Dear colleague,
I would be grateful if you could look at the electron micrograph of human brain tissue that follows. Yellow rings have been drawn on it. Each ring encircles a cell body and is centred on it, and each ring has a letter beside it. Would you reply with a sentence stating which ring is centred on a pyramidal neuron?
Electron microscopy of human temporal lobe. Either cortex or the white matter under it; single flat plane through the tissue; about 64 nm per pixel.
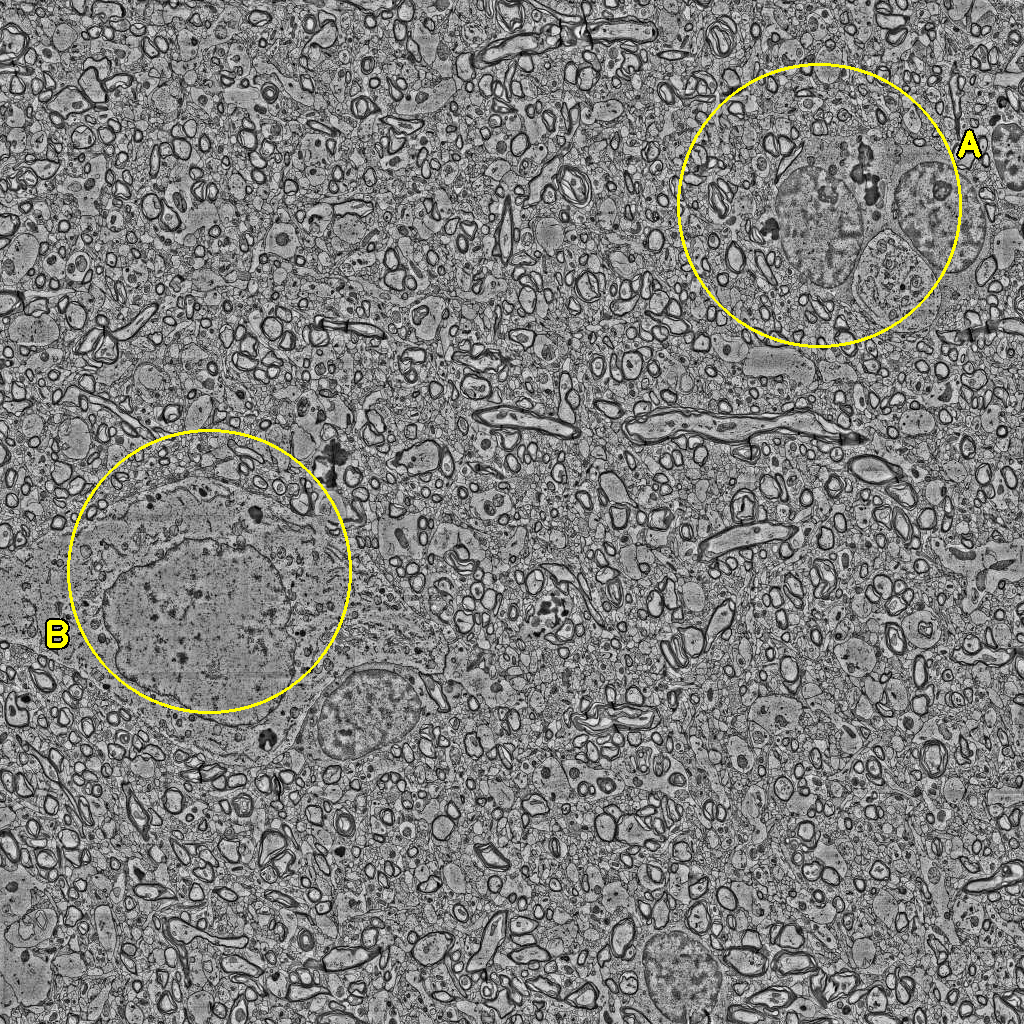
The ring centred on it is ring B.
